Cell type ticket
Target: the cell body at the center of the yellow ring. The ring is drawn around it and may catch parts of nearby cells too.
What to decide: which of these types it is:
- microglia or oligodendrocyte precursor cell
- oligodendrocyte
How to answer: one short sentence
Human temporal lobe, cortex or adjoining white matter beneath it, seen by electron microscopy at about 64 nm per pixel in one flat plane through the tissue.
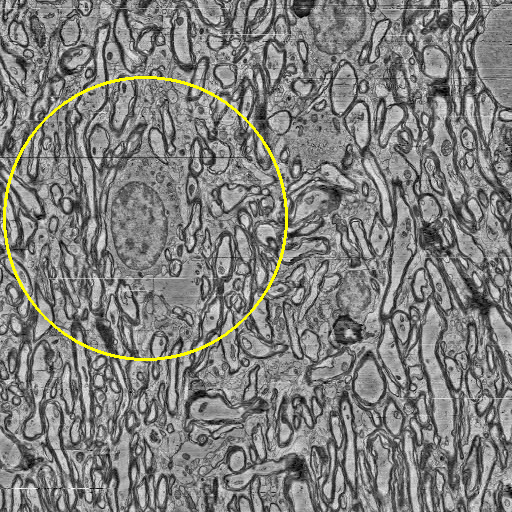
The cell at the center of the ring is an oligodendrocyte.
